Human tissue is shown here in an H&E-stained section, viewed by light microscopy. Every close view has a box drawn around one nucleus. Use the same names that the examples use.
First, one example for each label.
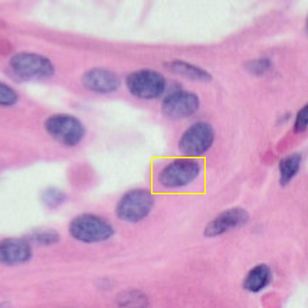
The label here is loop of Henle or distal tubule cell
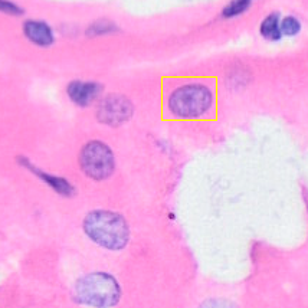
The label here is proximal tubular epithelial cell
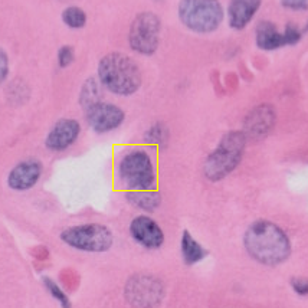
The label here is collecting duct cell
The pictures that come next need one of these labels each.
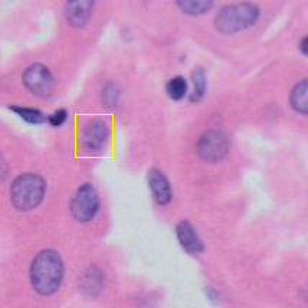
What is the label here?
loop of Henle or distal tubule cell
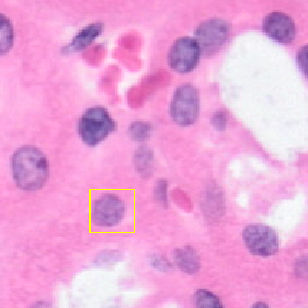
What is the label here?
loop of Henle or distal tubule cell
